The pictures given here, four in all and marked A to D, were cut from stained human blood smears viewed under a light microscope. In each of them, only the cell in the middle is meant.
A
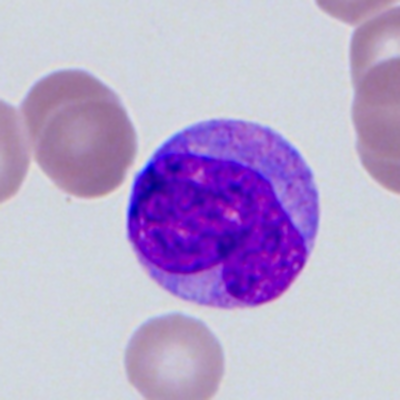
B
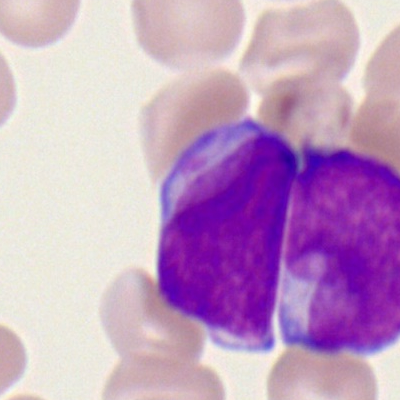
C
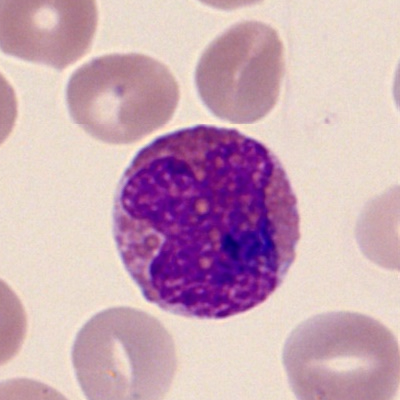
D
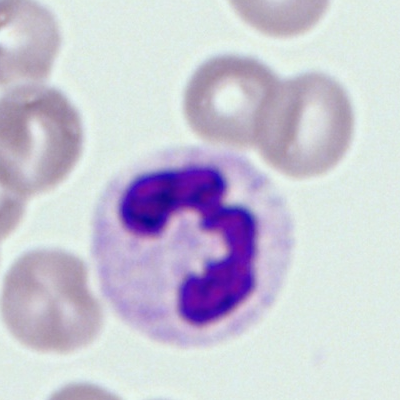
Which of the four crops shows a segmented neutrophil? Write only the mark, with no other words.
D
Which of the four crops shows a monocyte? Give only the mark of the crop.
A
